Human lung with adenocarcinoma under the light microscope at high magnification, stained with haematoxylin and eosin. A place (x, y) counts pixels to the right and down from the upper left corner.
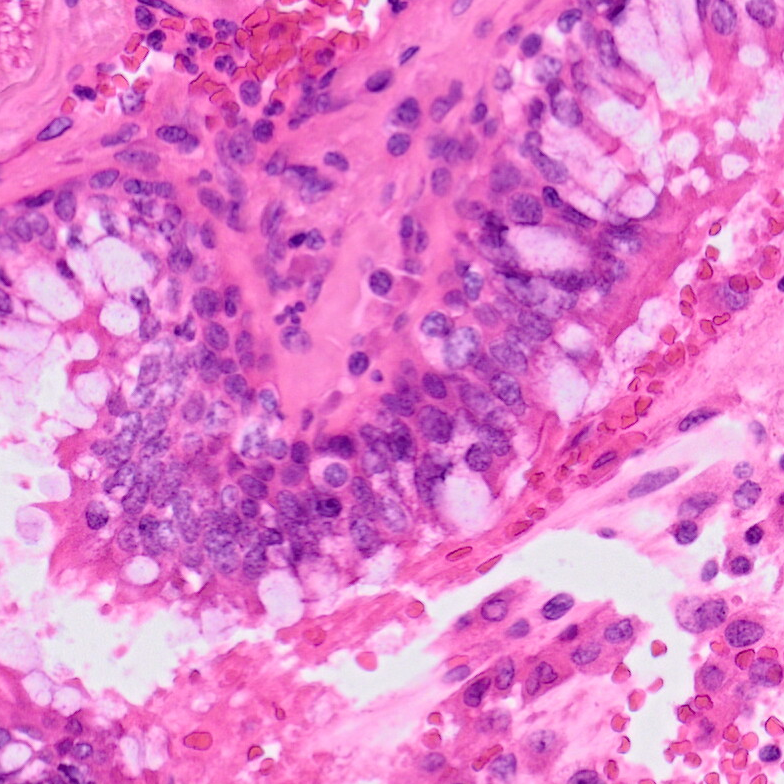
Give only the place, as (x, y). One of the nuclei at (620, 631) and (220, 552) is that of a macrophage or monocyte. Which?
(620, 631)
